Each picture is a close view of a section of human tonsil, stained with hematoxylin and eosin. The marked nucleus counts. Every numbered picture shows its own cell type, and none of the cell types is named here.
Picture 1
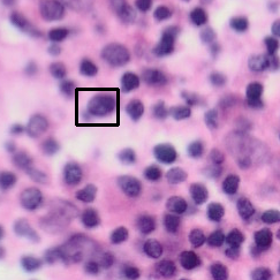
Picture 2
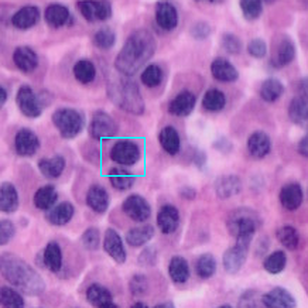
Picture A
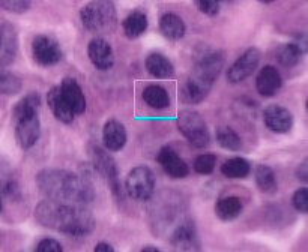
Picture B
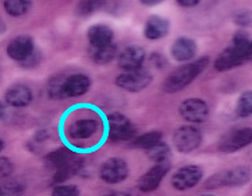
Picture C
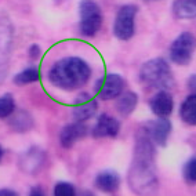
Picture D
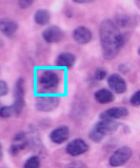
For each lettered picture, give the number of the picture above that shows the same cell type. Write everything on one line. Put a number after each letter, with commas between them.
A 2, B 2, C 1, D 2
